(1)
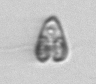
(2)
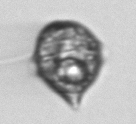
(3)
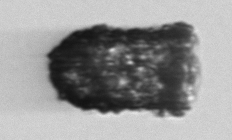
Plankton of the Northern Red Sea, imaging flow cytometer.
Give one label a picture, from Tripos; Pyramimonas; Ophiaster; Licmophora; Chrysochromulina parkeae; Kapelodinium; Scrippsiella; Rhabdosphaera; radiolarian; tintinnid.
1. Pyramimonas
2. Scrippsiella
3. tintinnid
